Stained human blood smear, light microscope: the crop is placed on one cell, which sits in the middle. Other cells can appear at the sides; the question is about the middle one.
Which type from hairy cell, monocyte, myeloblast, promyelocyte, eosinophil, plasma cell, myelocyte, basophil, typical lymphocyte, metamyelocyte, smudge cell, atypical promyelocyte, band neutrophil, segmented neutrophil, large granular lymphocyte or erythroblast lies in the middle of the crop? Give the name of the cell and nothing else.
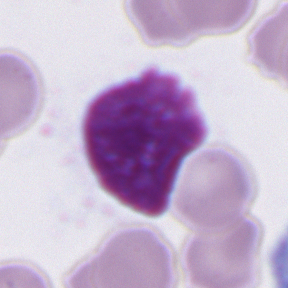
smudge cell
